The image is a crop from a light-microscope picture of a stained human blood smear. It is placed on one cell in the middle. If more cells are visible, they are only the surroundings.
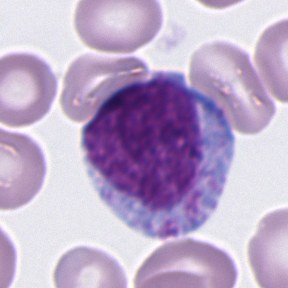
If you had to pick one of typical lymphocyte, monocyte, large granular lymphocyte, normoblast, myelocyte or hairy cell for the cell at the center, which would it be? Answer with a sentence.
The centered cell in this crop is a myelocyte.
